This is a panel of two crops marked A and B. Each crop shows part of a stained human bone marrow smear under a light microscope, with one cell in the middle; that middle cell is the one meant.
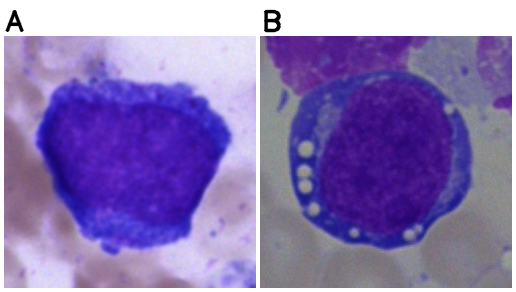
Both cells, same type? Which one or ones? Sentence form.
Yes, both crops alike show blasts at the centre.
